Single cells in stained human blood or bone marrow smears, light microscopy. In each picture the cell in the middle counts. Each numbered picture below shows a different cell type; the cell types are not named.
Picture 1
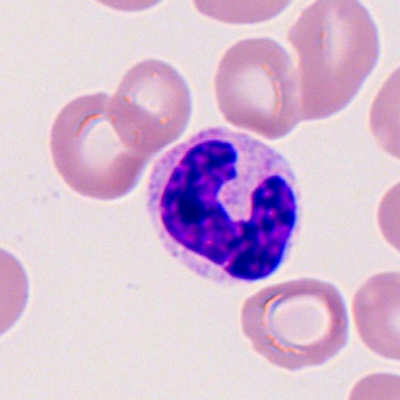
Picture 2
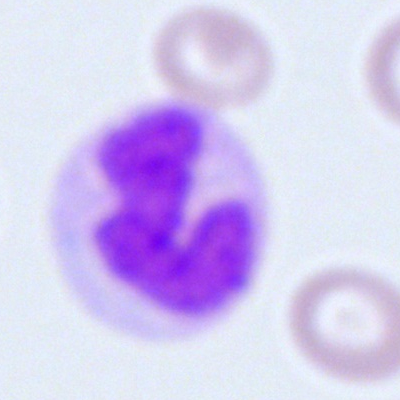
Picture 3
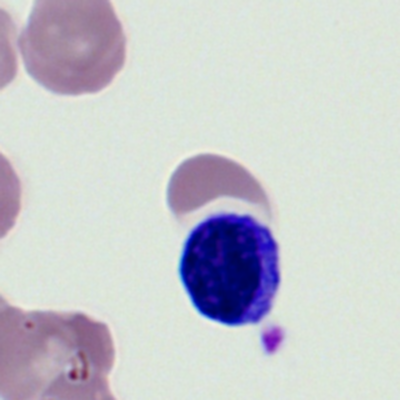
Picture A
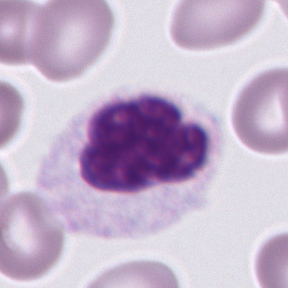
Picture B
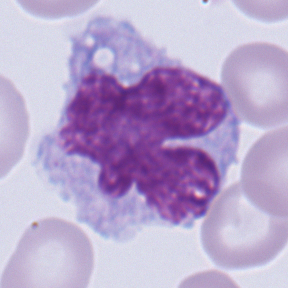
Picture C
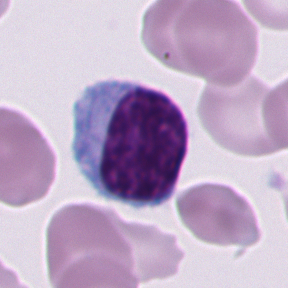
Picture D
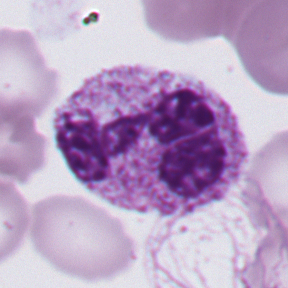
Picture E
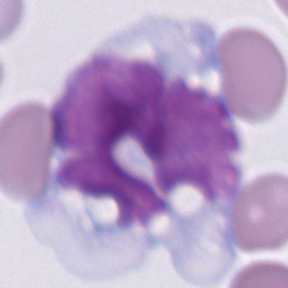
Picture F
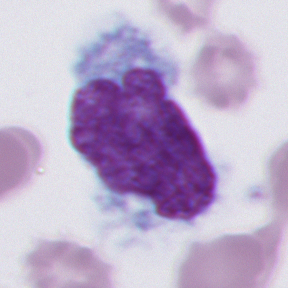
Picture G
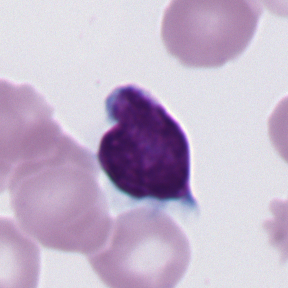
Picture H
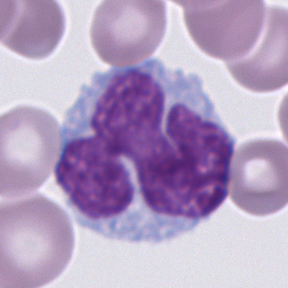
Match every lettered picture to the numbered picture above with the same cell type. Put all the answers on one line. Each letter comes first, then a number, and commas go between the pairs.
A 1, B 2, C 3, D 1, E 2, F 2, G 3, H 2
